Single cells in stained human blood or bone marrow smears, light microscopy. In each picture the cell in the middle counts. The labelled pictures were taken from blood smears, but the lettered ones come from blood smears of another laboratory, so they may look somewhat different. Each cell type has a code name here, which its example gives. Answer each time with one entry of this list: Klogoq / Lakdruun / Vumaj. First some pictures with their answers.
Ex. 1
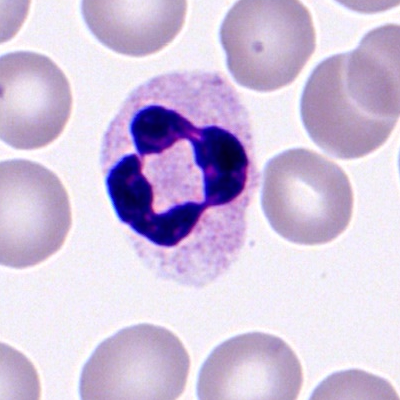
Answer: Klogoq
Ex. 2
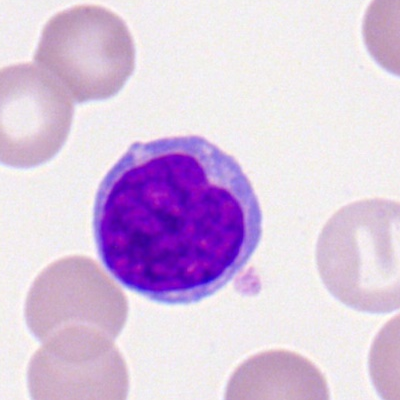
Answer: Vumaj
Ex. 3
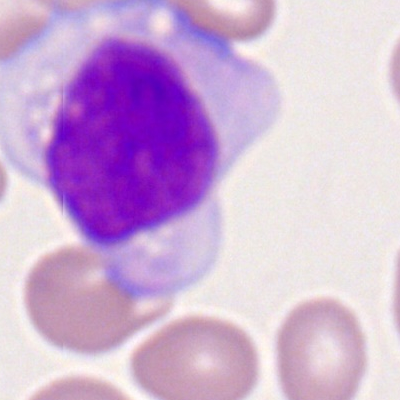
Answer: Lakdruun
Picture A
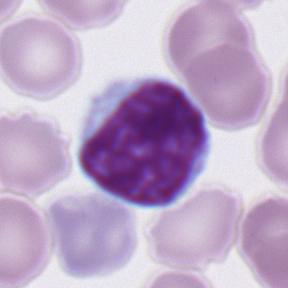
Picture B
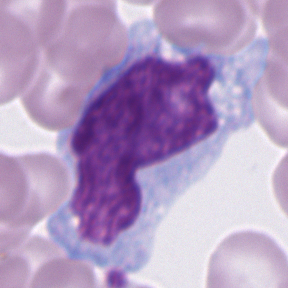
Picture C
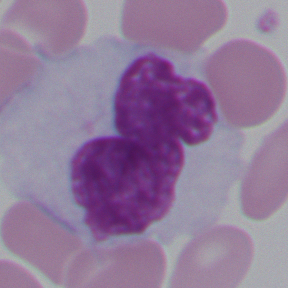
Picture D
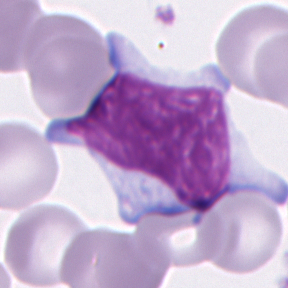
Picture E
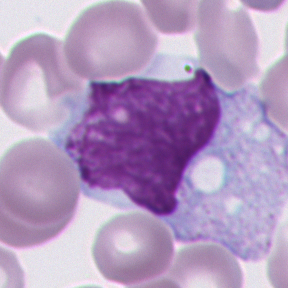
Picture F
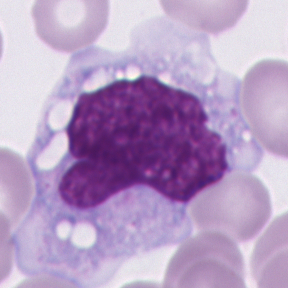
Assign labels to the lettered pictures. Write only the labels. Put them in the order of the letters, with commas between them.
Vumaj, Lakdruun, Lakdruun, Vumaj, Lakdruun, Lakdruun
